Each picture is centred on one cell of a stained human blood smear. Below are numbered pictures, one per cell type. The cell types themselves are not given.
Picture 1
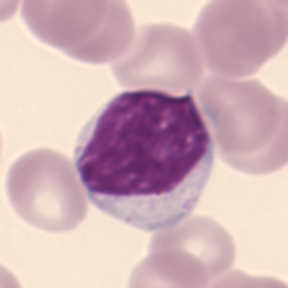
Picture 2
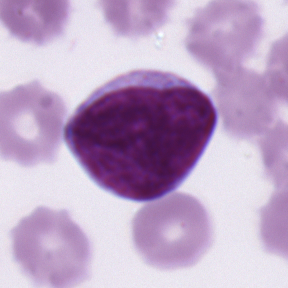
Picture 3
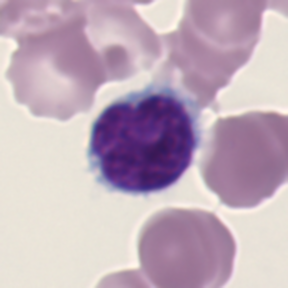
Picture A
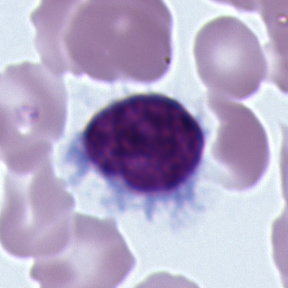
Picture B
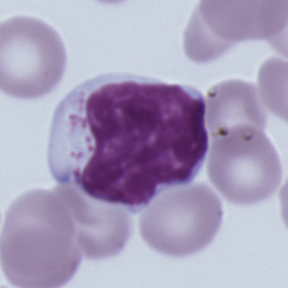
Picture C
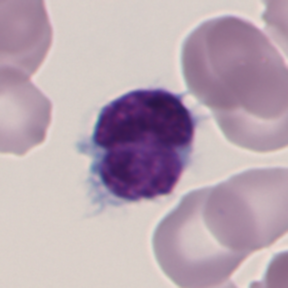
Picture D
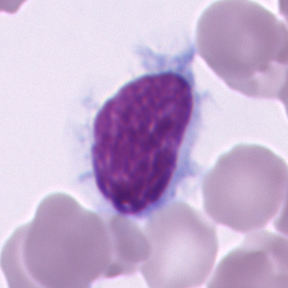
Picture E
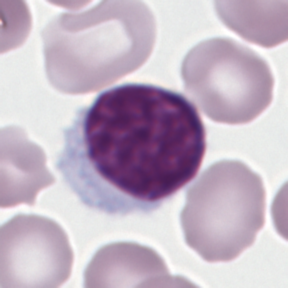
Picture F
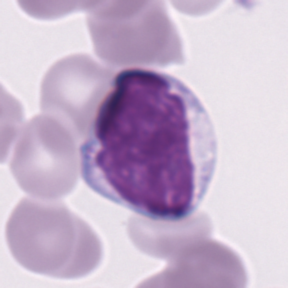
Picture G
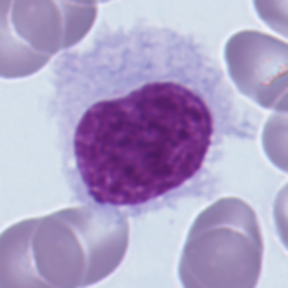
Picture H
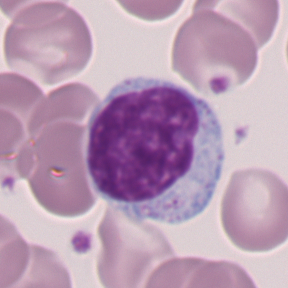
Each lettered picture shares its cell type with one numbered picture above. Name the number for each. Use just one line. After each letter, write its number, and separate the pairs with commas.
A 3, B 1, C 3, D 3, E 3, F 1, G 3, H 1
